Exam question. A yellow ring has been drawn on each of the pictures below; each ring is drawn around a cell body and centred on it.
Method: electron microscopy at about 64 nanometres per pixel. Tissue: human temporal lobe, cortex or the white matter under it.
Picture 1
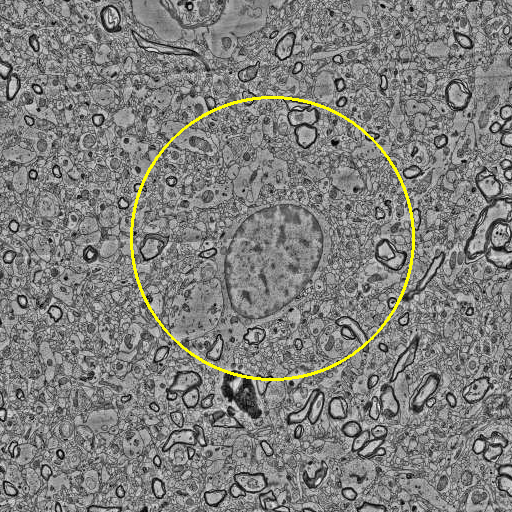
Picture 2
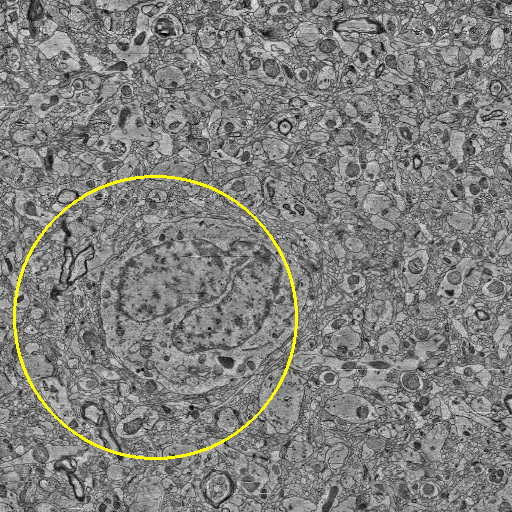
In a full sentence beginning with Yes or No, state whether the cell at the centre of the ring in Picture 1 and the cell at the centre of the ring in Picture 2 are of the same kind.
No, the cells are of two kinds.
